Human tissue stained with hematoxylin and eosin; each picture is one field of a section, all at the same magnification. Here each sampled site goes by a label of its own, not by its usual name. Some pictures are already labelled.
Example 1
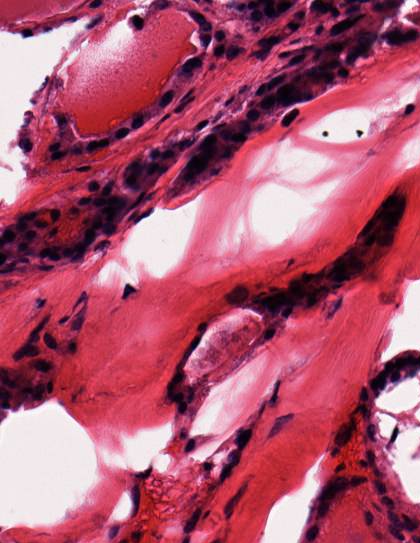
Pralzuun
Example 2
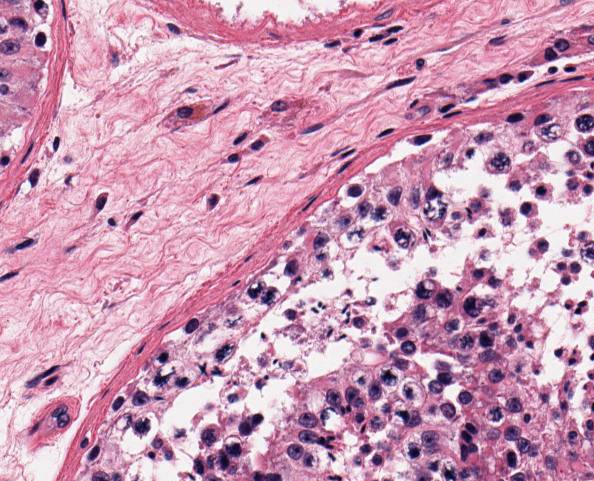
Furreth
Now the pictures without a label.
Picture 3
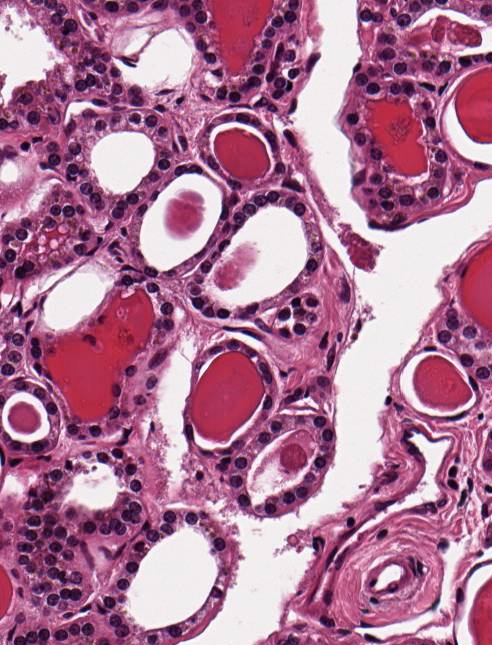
Pralzuun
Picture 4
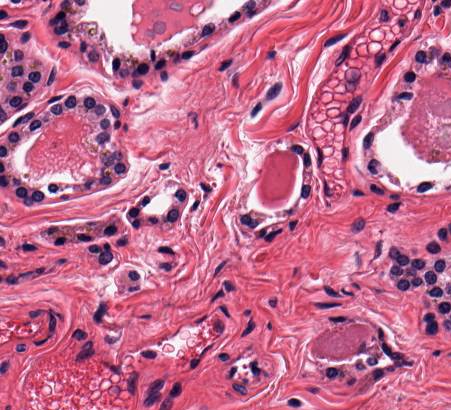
Pralzuun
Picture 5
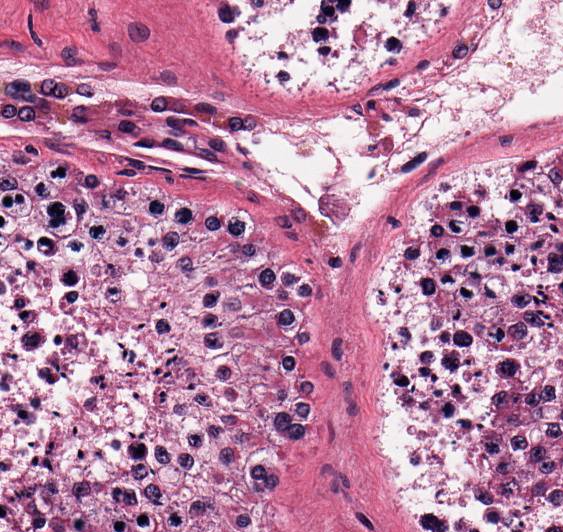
Furreth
